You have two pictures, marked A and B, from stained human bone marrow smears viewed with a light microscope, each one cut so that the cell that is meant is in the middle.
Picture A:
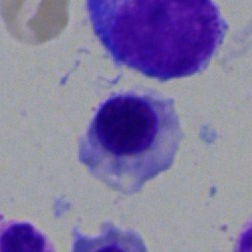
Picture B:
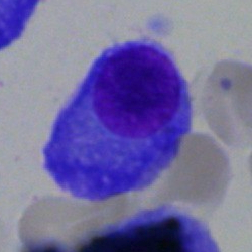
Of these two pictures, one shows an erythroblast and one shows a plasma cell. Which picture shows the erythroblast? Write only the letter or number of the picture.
A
